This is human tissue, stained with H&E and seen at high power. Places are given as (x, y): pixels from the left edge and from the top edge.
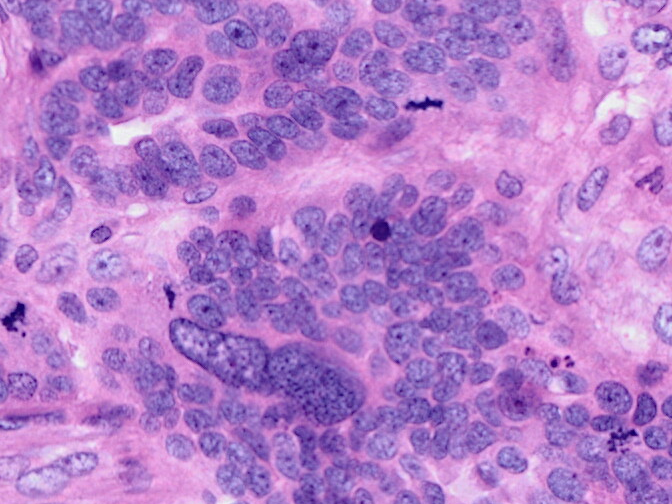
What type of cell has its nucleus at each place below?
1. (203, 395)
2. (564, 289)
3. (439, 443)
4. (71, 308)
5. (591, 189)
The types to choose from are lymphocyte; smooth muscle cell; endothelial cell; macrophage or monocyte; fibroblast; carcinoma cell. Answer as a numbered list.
1. carcinoma cell
2. fibroblast
3. carcinoma cell
4. macrophage or monocyte
5. fibroblast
